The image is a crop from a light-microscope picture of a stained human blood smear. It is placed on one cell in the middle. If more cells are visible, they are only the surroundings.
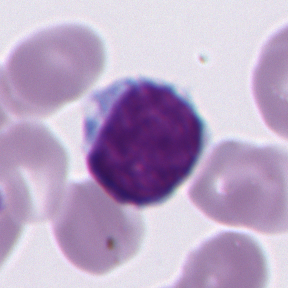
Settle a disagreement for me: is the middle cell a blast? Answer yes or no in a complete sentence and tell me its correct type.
No, that guess of a blast misses; the central cell is a lymphocyte.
